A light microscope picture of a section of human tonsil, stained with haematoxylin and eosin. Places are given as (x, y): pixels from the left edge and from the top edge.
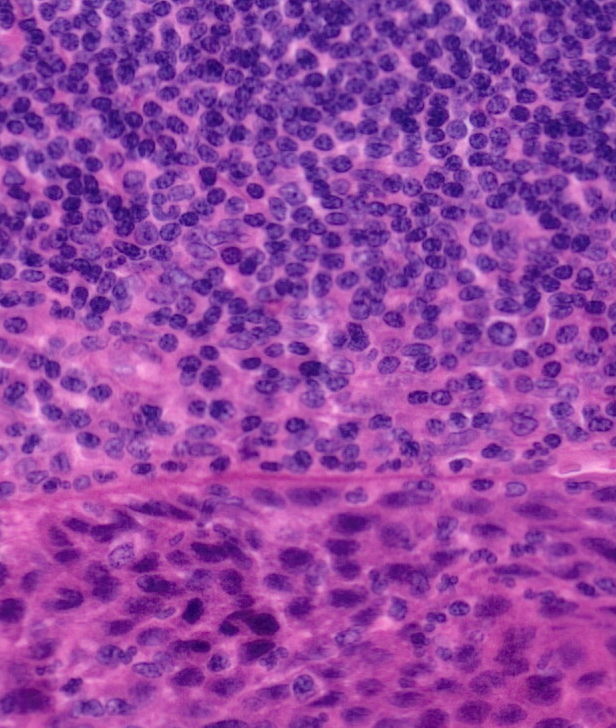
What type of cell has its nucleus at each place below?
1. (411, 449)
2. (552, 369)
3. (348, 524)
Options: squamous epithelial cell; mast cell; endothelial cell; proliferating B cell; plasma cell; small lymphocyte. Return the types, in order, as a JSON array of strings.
["plasma cell", "plasma cell", "squamous epithelial cell"]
